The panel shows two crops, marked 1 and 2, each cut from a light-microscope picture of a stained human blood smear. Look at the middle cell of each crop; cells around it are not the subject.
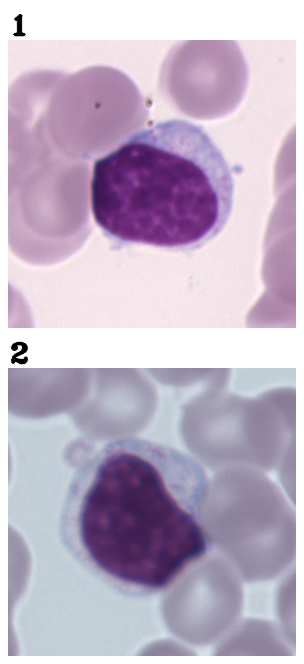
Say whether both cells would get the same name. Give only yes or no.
yes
